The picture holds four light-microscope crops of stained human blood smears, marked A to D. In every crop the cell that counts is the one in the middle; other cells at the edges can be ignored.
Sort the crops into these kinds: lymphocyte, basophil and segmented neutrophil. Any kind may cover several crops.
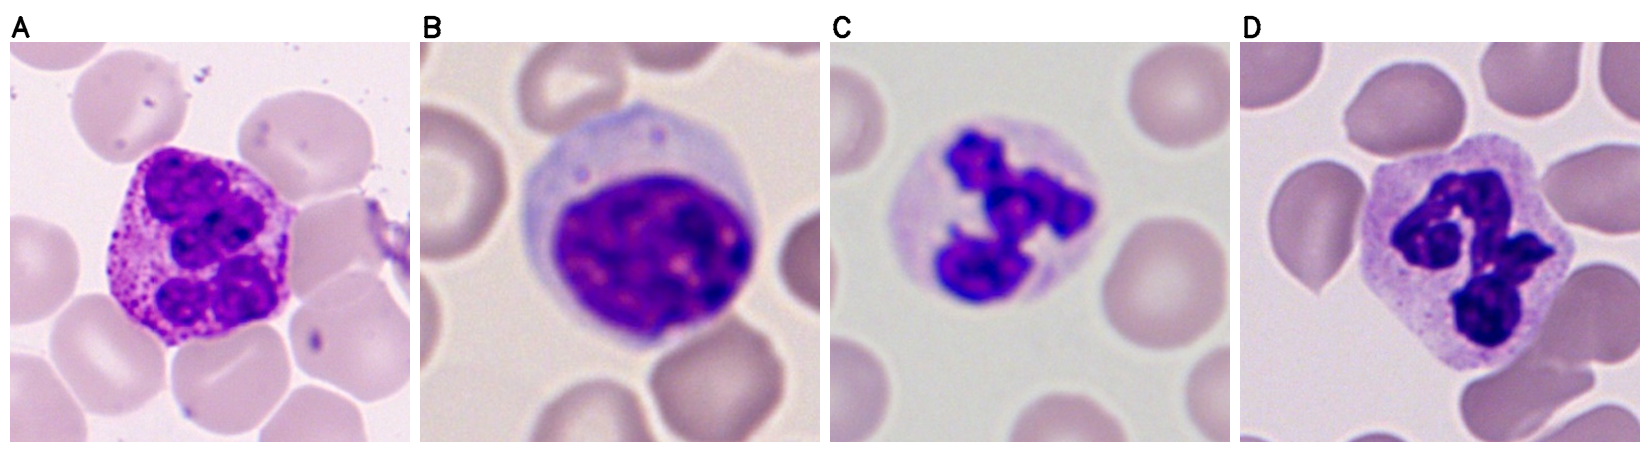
A: basophil
B: lymphocyte
C: segmented neutrophil
D: segmented neutrophil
